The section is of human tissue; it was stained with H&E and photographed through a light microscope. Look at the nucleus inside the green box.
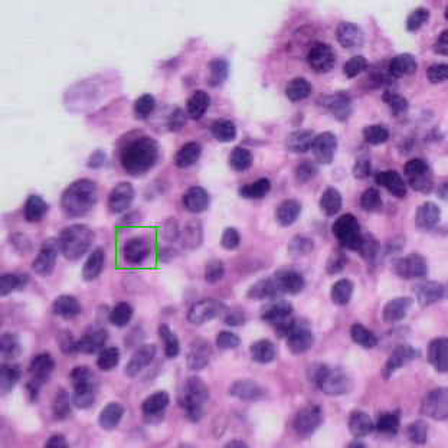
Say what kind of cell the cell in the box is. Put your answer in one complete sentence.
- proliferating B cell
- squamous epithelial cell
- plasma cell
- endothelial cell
Right, so the cell in the box is a proliferating B cell, to answer that.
